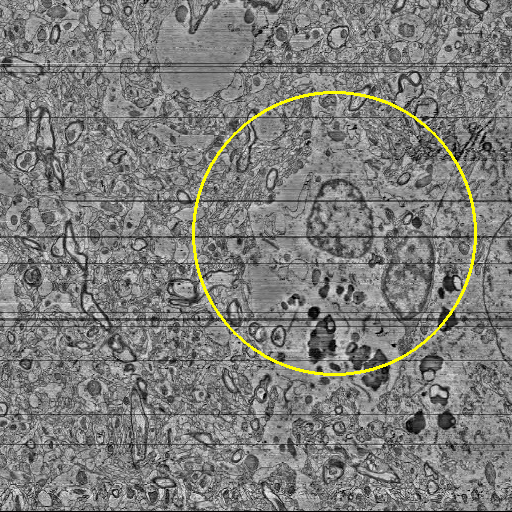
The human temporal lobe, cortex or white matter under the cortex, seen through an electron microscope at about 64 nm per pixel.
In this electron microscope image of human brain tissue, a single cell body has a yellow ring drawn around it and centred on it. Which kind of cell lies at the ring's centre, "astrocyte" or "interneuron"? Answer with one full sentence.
It is an astrocyte whose cell body lies at the centre of the yellow ring here.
